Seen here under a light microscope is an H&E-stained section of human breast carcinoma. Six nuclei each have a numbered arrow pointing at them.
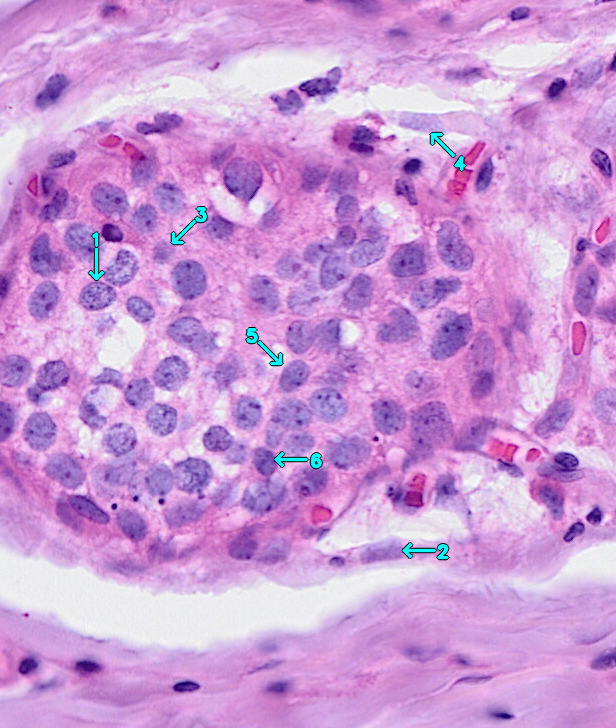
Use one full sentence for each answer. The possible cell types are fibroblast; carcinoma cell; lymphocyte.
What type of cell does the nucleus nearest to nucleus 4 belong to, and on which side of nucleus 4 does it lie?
The closest nucleus belongs to a lymphocyte and sits below nucleus 4.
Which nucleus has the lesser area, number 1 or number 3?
The smaller nucleus is 3, and 1 covers roughly 2 times its area.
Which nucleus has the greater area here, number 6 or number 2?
Number 2 is larger; its area is about 1.5 times that of number 6.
